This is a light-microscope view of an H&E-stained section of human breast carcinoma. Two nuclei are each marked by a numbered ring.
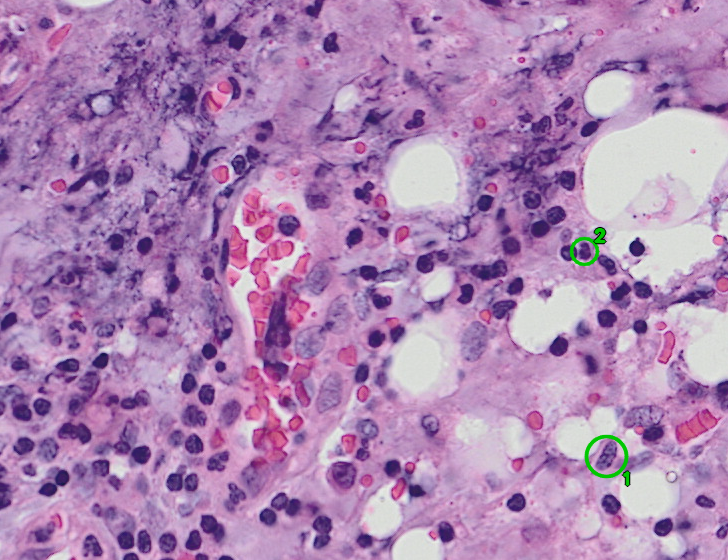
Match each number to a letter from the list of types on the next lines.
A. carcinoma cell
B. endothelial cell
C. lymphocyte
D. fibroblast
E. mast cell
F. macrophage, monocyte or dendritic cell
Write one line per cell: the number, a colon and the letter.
1: E
2: C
